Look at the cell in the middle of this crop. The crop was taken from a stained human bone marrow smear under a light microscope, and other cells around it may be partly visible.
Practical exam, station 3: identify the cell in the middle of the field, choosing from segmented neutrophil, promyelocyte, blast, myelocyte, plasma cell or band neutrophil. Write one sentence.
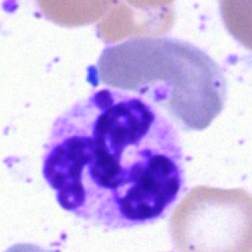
In this smear crop, the middle cell is a segmented neutrophil.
